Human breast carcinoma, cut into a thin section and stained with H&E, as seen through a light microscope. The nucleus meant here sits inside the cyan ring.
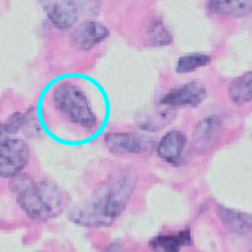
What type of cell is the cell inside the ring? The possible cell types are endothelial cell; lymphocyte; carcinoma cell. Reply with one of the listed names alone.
carcinoma cell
